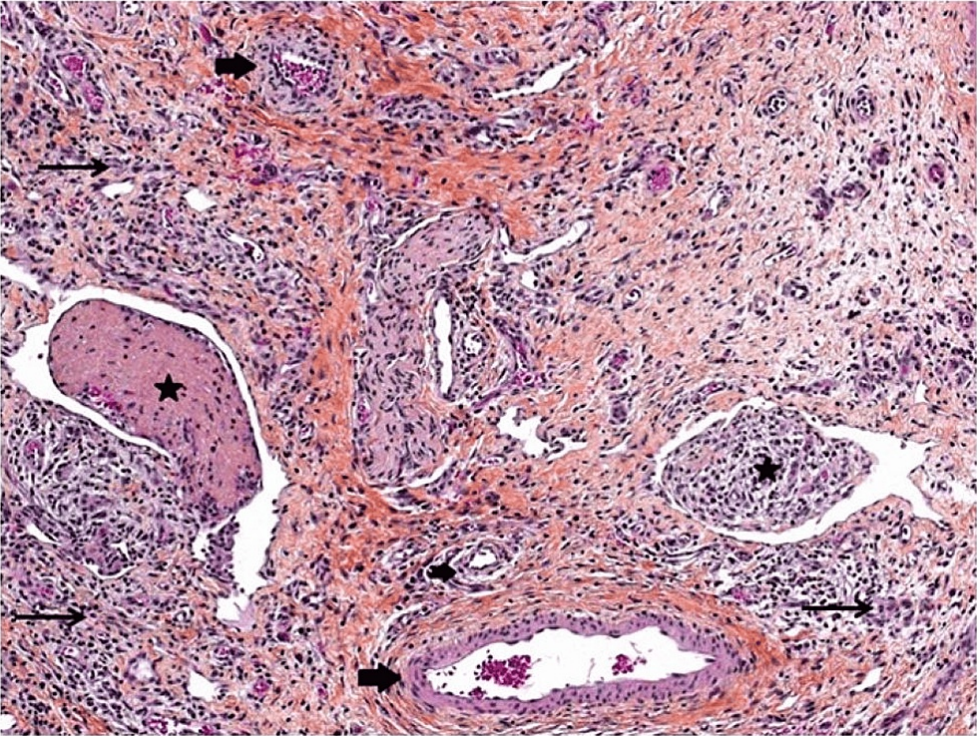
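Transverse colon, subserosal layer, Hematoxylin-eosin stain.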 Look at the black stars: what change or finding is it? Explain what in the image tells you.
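Vessel lumens filled by a solid mass separated from the wall by a clear cleft. The masses contain spindle-shaped cells in a pink matrix rather than free blood. That points to this answer: organized thrombi.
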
